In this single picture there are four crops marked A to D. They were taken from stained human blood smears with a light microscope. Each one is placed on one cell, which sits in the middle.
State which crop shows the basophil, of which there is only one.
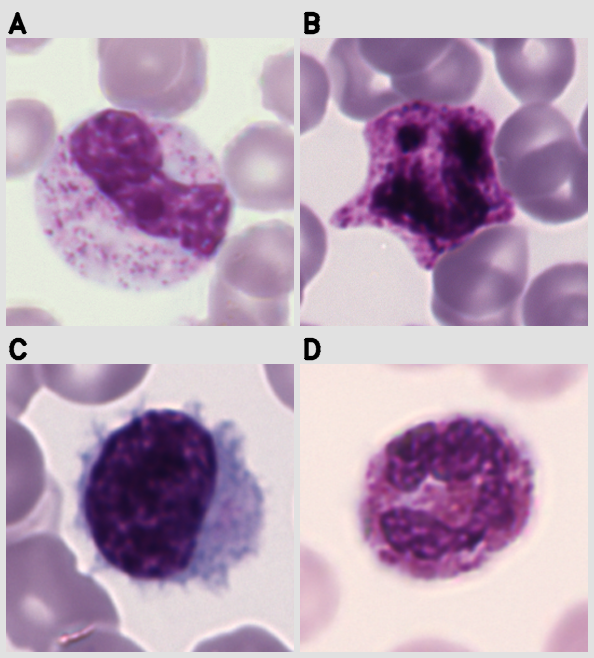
B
